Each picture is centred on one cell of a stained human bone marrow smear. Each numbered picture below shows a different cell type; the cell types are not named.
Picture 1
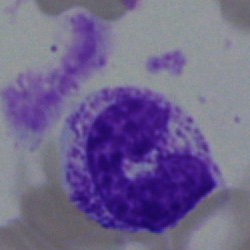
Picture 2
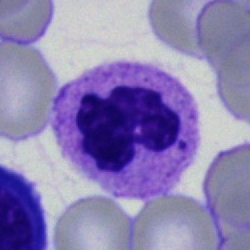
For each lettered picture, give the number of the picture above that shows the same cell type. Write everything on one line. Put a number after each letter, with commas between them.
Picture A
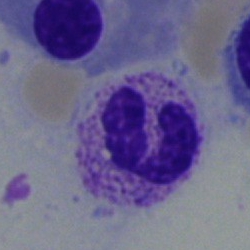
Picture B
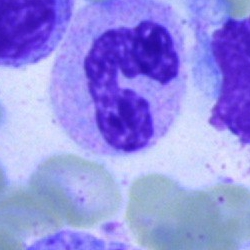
A 2, B 2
